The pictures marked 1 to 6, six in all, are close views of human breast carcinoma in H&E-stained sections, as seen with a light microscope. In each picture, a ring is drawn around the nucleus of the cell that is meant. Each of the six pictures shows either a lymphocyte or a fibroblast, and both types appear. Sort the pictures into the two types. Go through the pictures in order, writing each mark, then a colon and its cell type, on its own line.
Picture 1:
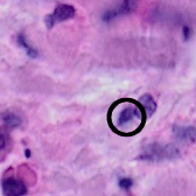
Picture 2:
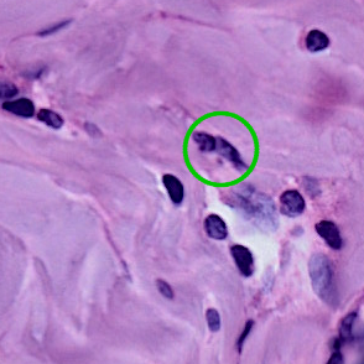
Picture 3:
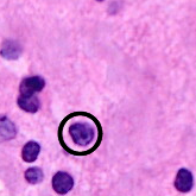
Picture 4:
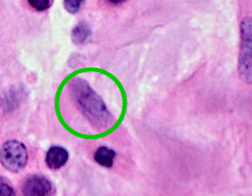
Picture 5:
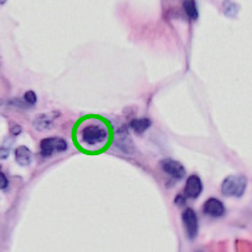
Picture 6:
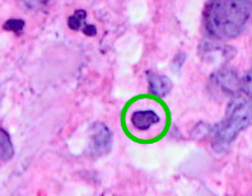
1: lymphocyte
2: fibroblast
3: lymphocyte
4: fibroblast
5: lymphocyte
6: lymphocyte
